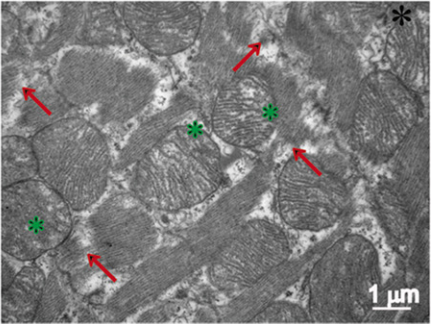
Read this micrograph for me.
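This is heart muscle seen at high electron-microscope magnification, with bundles of fine filaments and large rounded mitochondria packed between them. The filament bundles do not run in one direction but lie at varied angles, and in places they fray into pale, sparse, cloud-like areas. Many mitochondria are large and rounded, with double membranes and tightly folded cristae, and they crowd the field between the bundles. Light, empty-looking spaces open up around mitochondria and filaments, unlike the compact, orderly banding of normal heart muscle. Together this looks like loosened, disordered myofilaments with swollen mitochondria.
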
